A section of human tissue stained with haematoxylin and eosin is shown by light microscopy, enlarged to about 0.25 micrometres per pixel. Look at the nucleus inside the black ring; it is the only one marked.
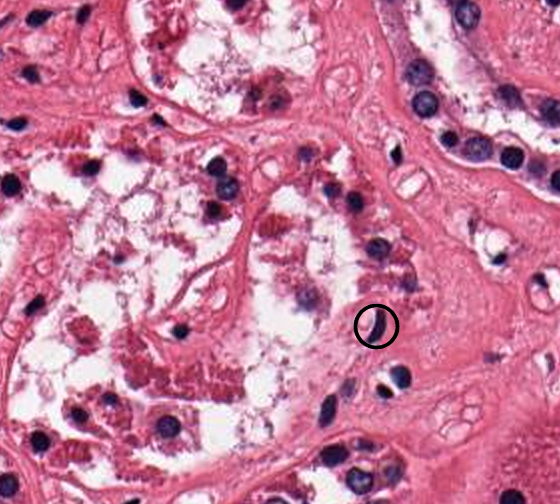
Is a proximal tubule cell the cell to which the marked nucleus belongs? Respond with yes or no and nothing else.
no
